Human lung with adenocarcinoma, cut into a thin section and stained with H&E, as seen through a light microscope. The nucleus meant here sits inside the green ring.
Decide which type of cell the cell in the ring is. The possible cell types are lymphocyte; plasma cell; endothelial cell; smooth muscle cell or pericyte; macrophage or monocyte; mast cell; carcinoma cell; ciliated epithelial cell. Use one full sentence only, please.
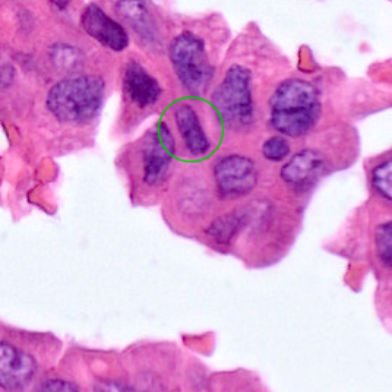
The classification of the cell in the ring is as a carcinoma cell.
